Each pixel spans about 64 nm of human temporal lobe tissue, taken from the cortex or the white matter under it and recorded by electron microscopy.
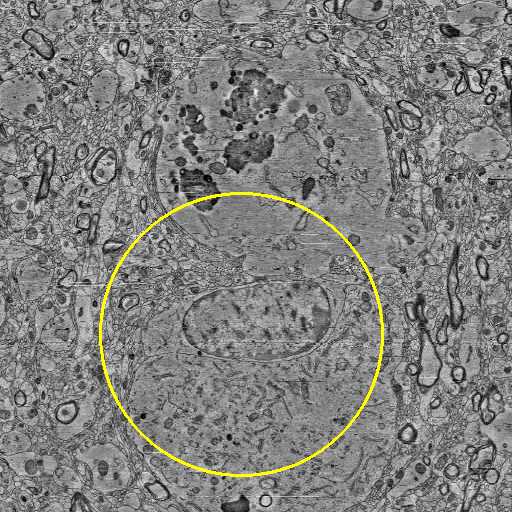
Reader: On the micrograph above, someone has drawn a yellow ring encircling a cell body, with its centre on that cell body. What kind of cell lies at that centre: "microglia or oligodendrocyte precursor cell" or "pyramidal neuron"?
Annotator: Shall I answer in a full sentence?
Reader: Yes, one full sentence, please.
Here a microglial cell or oligodendrocyte precursor cell sits at the centre of the yellow ring drawn on the micrograph.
